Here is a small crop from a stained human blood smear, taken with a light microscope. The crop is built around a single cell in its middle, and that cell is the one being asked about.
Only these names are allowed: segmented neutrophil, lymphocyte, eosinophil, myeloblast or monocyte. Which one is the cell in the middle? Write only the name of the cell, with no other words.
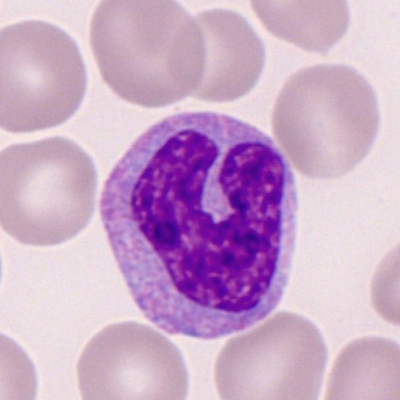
monocyte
